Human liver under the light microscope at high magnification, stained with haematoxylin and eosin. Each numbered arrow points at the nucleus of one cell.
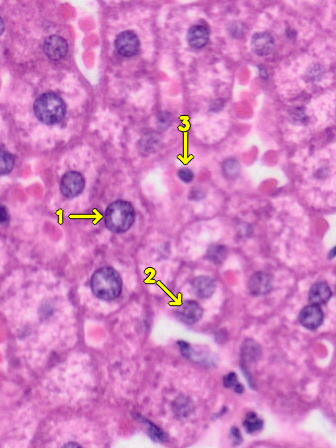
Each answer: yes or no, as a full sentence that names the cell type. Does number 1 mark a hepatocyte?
Yes, the cell at number 1 is a hepatocyte.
